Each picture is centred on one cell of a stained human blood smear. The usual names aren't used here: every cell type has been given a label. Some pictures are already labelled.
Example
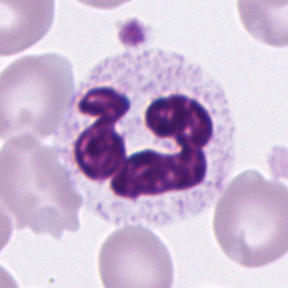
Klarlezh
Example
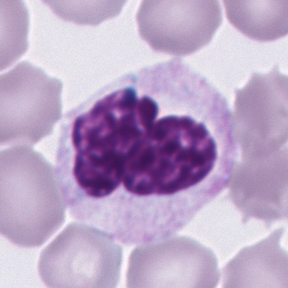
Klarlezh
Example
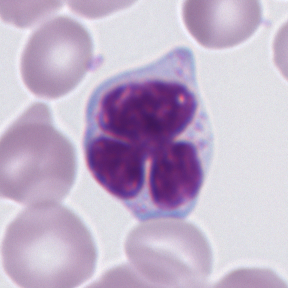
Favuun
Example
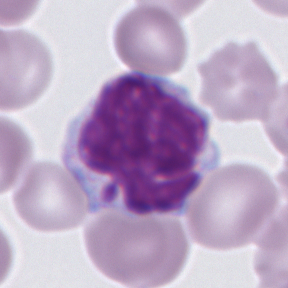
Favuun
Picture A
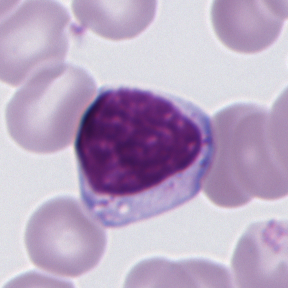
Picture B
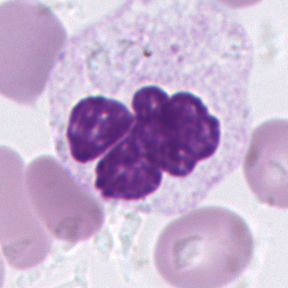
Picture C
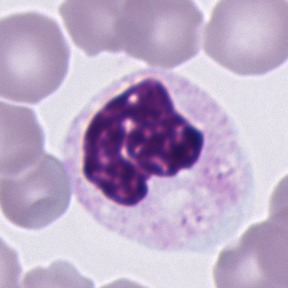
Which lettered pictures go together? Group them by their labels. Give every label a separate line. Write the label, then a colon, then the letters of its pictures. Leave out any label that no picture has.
Klarlezh: B, C
Favuun: A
